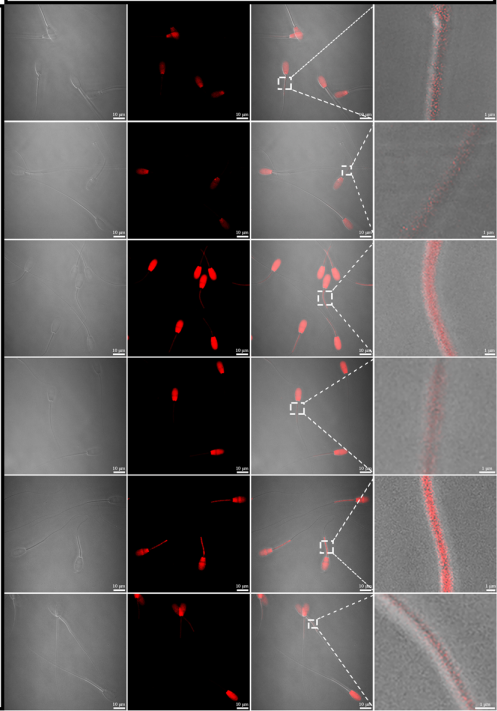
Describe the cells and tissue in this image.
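These are spermatozoa, each with a small flattened oval head and a long, very thin tail that trails across the bright-field field. In the fluorescence images the red signal sits mainly over the heads, and in some cells it also runs along the first stretch of the tail. The enlarged tiles show a short segment of a tail at high magnification, where the red appears as a fine granular stippling along the piece, brighter and denser in some rows than in others.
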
